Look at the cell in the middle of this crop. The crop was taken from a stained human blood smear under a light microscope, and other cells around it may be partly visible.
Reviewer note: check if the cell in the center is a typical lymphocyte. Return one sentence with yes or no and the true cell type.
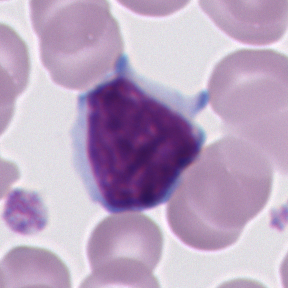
Yes, the centre of the crop holds a typical lymphocyte.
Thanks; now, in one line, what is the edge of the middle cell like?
A smooth outline is absent here, replaced by ragged stretches or projections.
